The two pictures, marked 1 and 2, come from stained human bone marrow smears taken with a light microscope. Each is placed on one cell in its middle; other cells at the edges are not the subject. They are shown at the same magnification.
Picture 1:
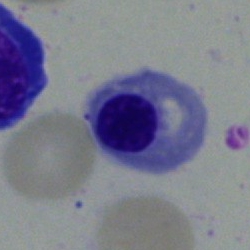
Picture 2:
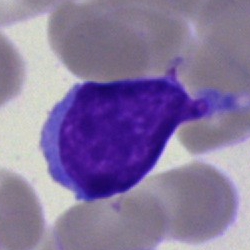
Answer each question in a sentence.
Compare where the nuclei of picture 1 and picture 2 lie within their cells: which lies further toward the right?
Seen within its cell, the nucleus in picture 2 lies further toward the right.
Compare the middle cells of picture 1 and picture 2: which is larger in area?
Picture 2 holds the larger cell; it covers about 1.5 times the area of the cell in picture 1.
